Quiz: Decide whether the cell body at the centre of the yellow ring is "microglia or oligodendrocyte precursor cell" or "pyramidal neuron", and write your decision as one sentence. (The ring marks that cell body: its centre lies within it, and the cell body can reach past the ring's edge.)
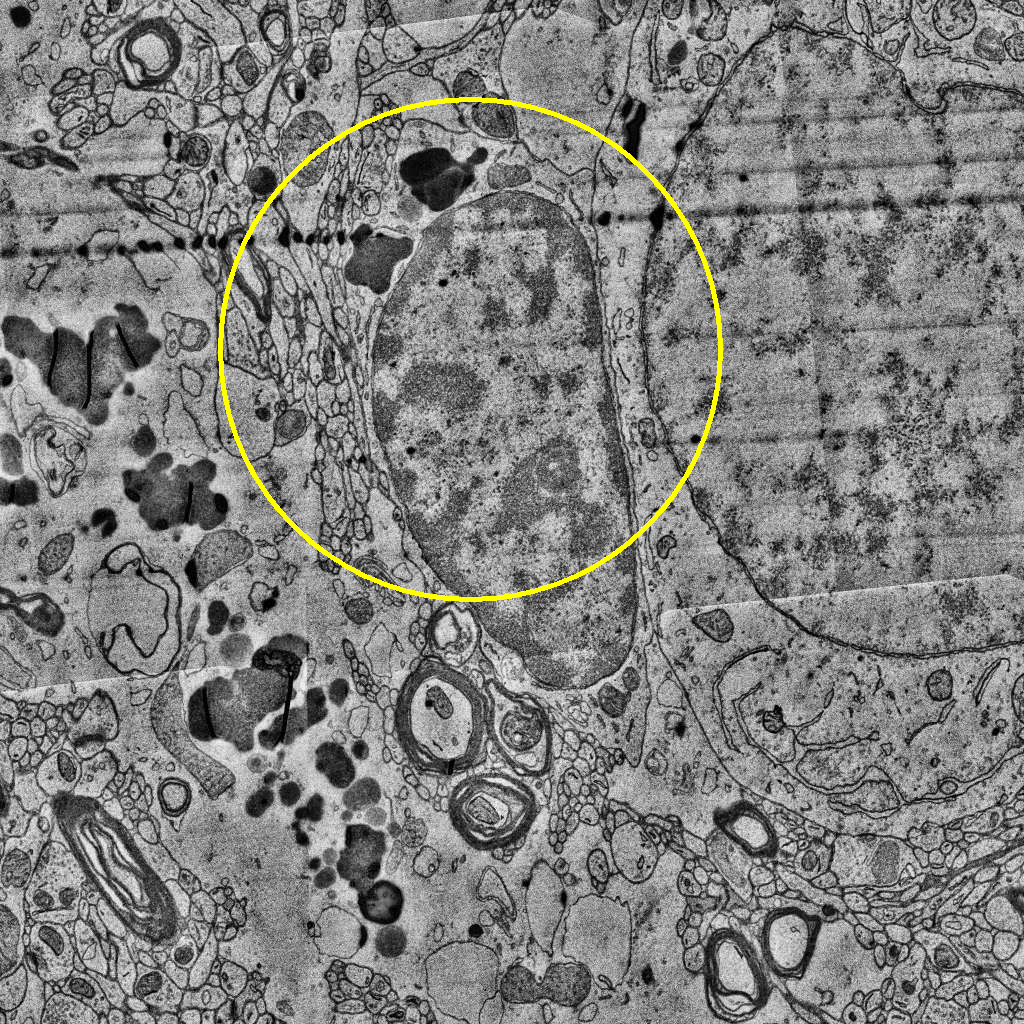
The cell holding the ring's centre is a microglial cell or oligodendrocyte precursor cell.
